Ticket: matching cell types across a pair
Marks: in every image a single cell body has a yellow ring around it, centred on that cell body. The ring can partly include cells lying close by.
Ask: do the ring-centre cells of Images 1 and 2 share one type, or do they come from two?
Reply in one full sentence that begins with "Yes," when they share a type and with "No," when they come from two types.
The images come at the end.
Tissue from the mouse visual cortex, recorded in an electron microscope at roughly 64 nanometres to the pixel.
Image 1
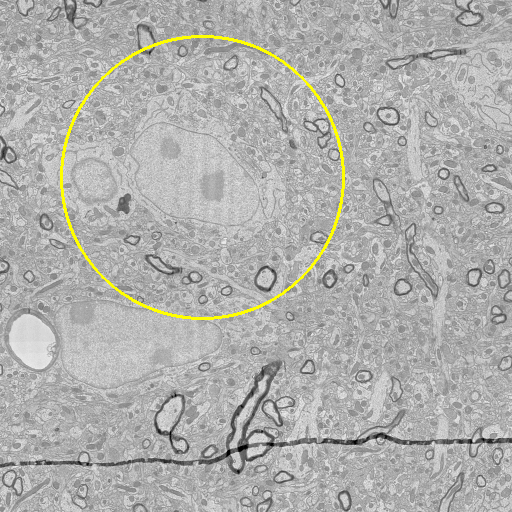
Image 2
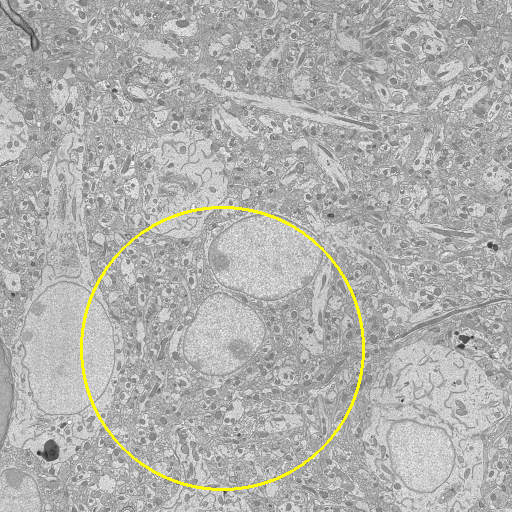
No, the cells in the centres of the rings in Image 1 and Image 2 come from two types.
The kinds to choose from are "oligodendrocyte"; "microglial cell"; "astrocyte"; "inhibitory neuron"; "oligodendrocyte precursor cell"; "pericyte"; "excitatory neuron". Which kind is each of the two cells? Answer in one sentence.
Of the two, the first cell is an excitatory neuron and the second cell is an astrocyte.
